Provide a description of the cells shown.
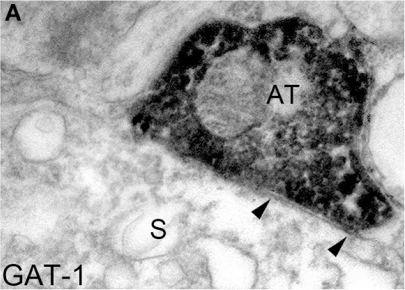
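A large axon terminal is packed with dark, granular reaction product that fills its cytoplasm around a central mitochondrion. The terminal sits against a pale neuronal cell body below it, which contains a few clear vesicular profiles. Along the flat apposition between the two, the membranes run parallel without a prominent thickening on the cell body side, the look of a symmetric synapse. The surrounding neuropil is pale and unlabelled, so the dark product is confined to the terminal itself.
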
